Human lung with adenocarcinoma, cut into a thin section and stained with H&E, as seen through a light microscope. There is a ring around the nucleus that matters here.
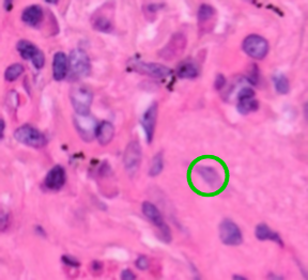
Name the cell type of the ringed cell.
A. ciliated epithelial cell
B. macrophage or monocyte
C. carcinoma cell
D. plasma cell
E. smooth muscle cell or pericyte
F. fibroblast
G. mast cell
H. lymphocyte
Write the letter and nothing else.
F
